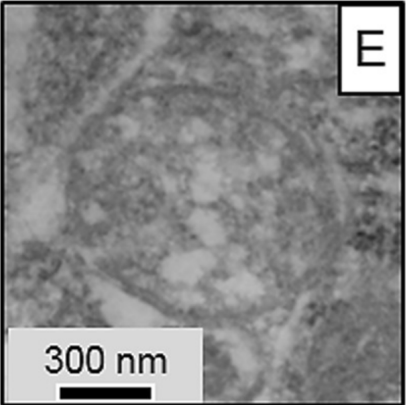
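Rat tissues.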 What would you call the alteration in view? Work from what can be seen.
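Swollen. A large rounded organelle bounded by a double membrane fills most of the panel. Its matrix is pale with clear empty patches. Cristae are sparse and fragmented rather than tightly stacked.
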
